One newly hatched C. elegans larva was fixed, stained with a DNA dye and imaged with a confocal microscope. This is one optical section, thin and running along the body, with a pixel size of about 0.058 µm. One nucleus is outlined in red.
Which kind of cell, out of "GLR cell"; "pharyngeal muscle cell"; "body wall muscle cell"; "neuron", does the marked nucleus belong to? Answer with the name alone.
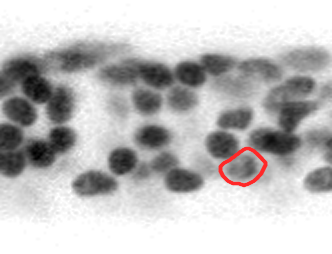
pharyngeal muscle cell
